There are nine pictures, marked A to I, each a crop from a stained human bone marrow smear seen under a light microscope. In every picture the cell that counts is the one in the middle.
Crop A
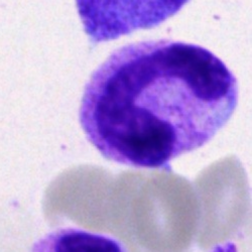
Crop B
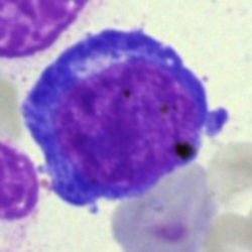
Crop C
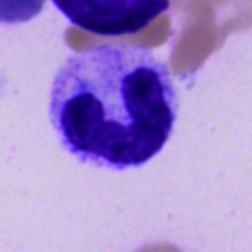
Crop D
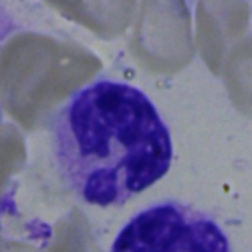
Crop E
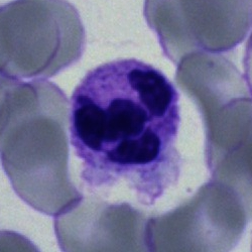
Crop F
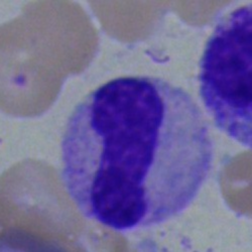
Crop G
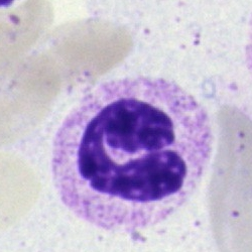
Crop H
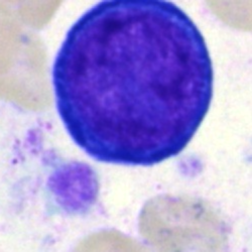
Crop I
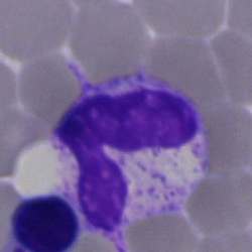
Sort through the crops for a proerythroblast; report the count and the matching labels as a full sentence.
Of the crops, those showing proerythroblasts are B and H, two altogether.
